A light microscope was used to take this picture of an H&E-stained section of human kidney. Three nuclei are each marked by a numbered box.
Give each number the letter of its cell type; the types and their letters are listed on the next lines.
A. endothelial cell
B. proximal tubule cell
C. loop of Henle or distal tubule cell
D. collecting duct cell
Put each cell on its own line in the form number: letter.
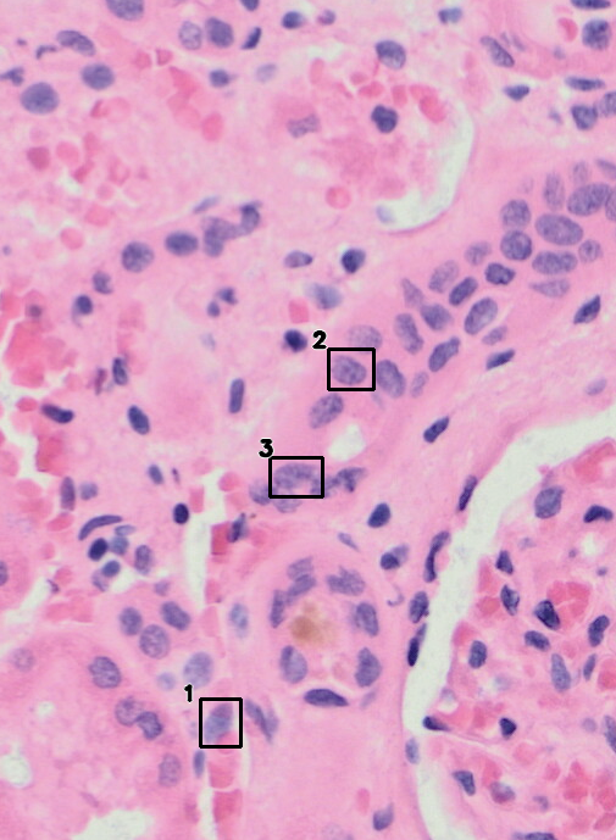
1: A
2: D
3: D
